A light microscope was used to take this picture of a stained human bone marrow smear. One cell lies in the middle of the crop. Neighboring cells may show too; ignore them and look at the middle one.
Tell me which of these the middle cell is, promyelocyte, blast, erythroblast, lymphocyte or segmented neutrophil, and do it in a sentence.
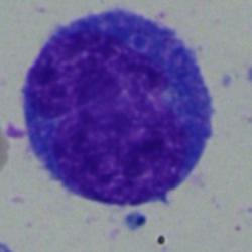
This particular crop is centered on a blast.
